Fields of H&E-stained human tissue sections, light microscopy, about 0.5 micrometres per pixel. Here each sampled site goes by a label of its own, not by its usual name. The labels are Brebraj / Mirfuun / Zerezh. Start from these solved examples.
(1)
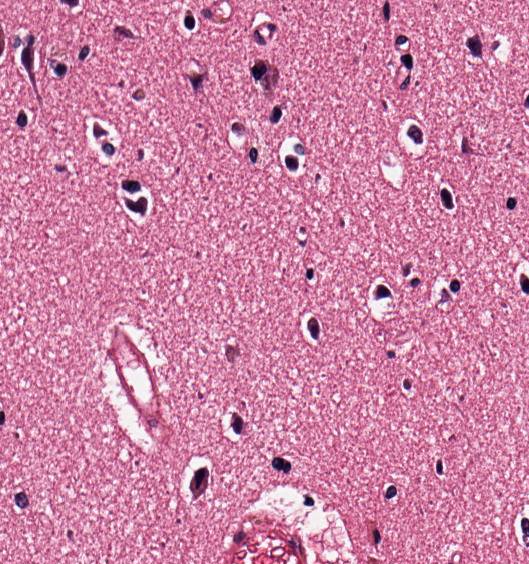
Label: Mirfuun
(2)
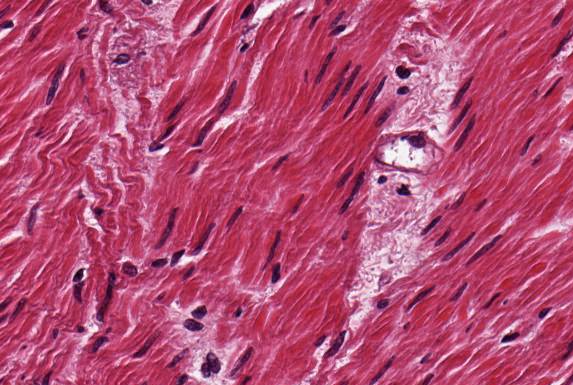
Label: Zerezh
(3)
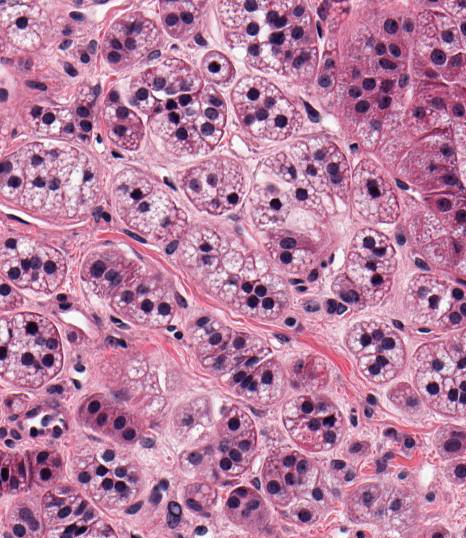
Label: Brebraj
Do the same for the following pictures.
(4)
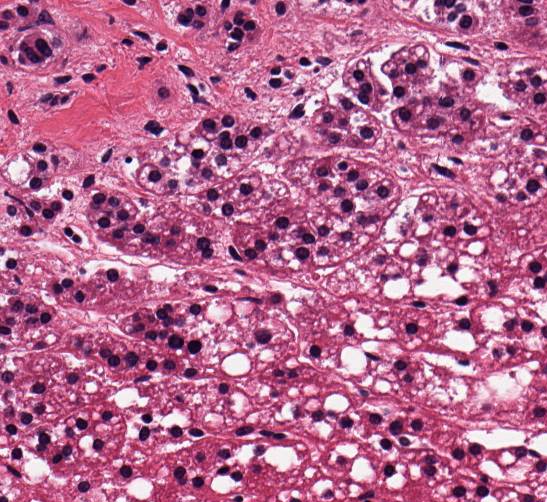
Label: Brebraj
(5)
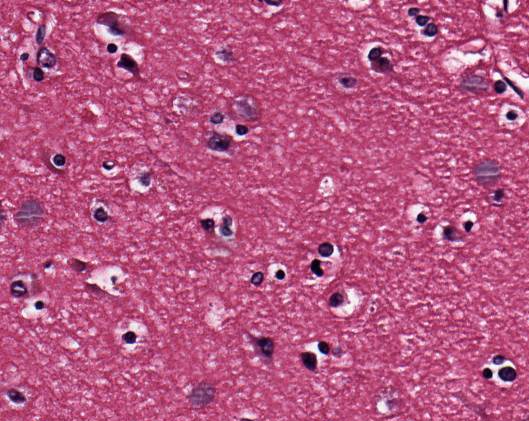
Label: Mirfuun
